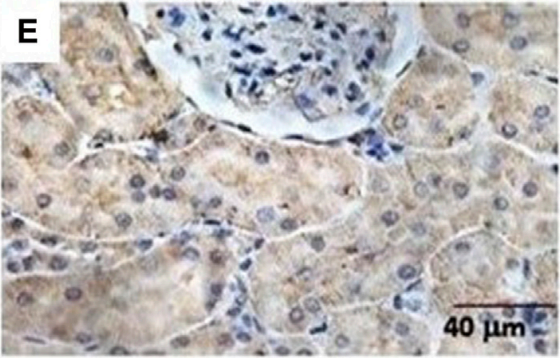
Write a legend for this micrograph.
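Kidney tissue with a glomerulus and surrounding renal tubules. At the top a glomerulus sits within a clear space bordered by a thin capsule, its tuft crowded with small dark blue nuclei. Around it, tubules cut in cross and oblique section are lined by cuboidal epithelial cells with round blue nuclei and a finely granular cytoplasm tinted light brown. Thin pale boundaries separate neighbouring tubules, and the lumens are narrow. The brown colour is diffuse and even across the tubule cells rather than concentrated in single cells, while nuclei remain blue.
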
